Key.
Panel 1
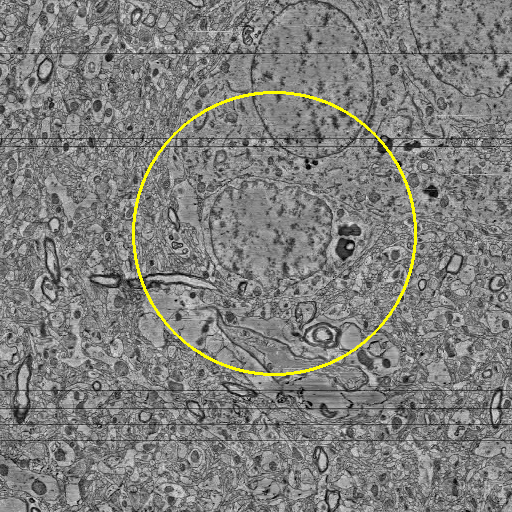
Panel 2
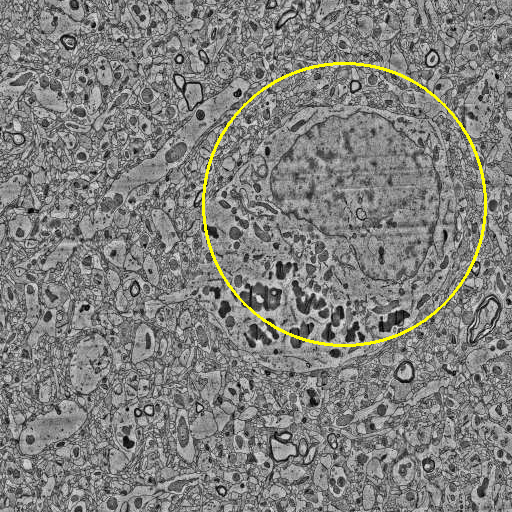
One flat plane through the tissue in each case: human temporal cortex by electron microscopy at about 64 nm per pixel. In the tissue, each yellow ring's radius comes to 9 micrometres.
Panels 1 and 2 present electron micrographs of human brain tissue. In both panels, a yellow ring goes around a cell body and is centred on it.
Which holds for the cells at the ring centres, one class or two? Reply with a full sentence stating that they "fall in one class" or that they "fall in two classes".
Taken together, the ring-centre cells of the two panels fall in one class.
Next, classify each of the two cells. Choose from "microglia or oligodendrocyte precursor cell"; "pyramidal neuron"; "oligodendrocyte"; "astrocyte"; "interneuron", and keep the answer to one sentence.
Both pictures show an interneuron at the centre of the ring.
